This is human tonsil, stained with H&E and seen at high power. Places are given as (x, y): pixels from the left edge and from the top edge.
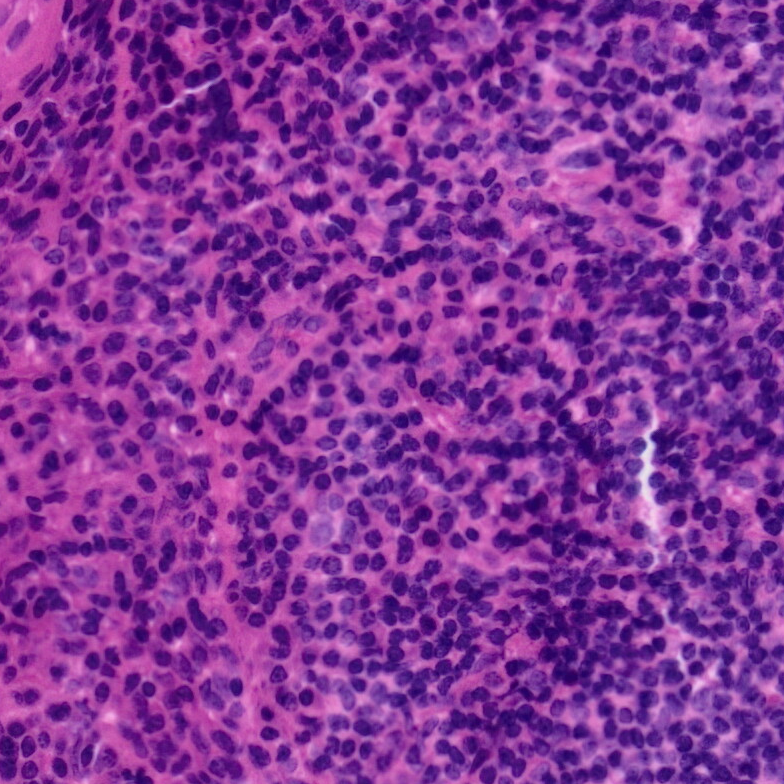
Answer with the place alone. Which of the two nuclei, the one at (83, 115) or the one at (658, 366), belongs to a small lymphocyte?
(658, 366)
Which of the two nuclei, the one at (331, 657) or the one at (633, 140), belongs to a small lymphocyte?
(633, 140)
